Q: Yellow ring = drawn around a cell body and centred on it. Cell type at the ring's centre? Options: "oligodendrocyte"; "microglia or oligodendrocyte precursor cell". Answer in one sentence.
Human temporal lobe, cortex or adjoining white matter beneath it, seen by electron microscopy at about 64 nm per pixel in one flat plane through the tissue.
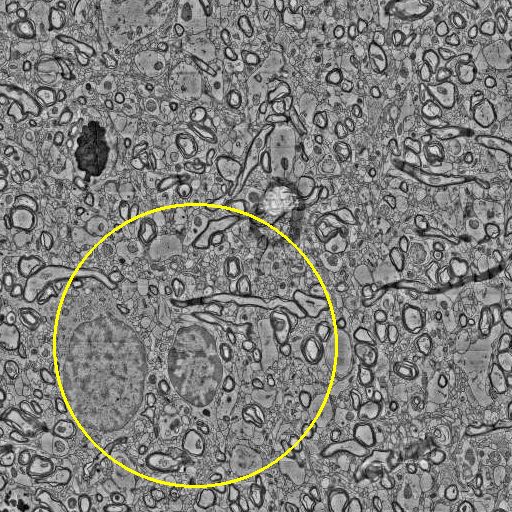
Centred in the ring is a microglial cell or oligodendrocyte precursor cell.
